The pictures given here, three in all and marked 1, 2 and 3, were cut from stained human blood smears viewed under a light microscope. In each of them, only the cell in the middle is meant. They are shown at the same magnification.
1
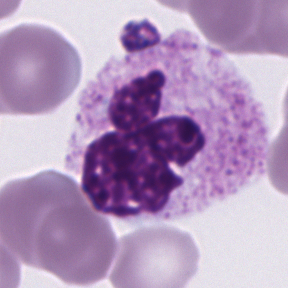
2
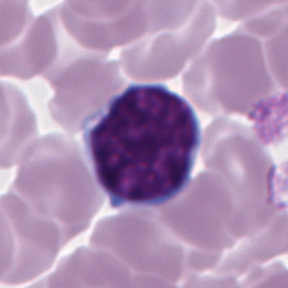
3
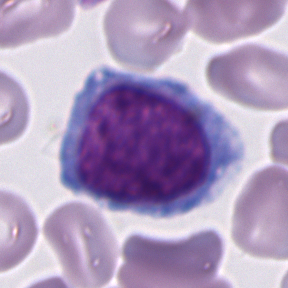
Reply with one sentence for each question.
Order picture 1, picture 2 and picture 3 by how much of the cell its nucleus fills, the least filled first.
The least filled comes first: 1, 3, 2.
